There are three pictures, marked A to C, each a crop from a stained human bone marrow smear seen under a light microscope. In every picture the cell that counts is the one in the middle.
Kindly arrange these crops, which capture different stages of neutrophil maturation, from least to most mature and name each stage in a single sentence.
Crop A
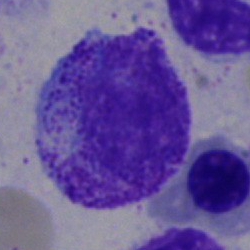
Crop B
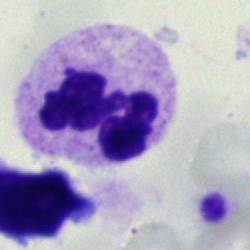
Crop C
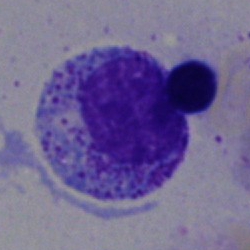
In order of rising maturity, the sequence is crop C (a promyelocyte), crop A (a myelocyte) and crop B (a segmented neutrophil).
